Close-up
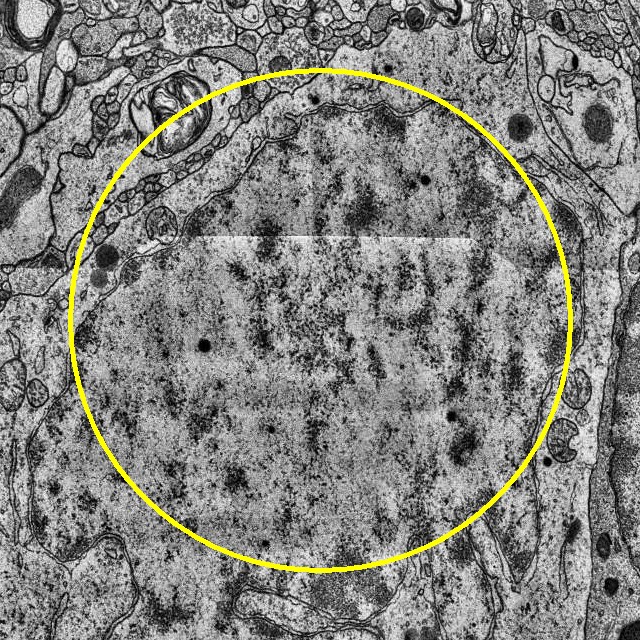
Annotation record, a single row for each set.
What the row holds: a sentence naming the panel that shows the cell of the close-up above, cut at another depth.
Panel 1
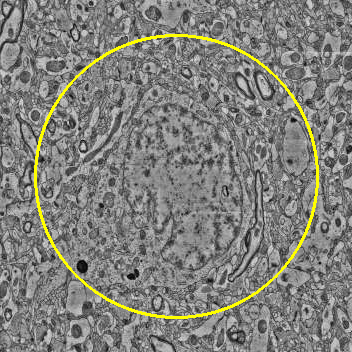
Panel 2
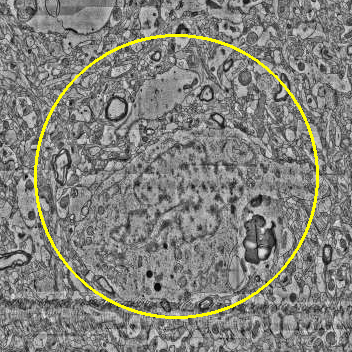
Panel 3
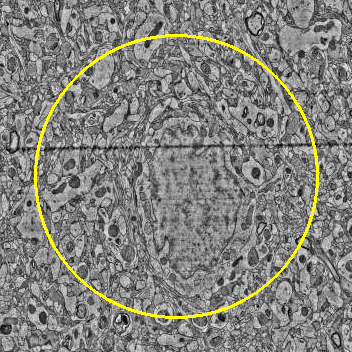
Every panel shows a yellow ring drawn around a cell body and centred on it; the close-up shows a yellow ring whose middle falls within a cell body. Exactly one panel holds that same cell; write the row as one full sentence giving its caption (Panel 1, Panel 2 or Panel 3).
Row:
The cell marked in Panel 2 is the one enlarged in the close-up.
